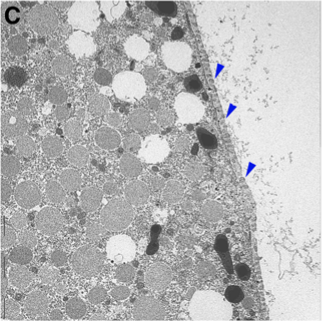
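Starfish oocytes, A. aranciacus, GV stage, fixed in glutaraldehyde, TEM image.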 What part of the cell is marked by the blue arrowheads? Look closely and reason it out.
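Fine short projections line the outer surface of the cell. The arrowheads sit along the cell's outer border.
Answer: microvilli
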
